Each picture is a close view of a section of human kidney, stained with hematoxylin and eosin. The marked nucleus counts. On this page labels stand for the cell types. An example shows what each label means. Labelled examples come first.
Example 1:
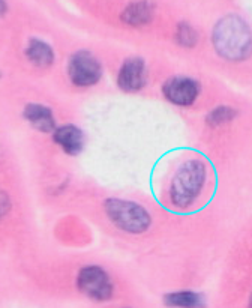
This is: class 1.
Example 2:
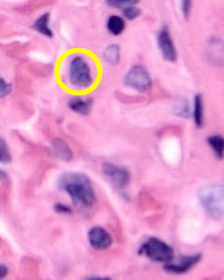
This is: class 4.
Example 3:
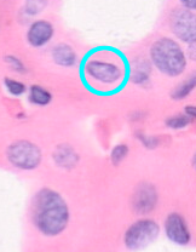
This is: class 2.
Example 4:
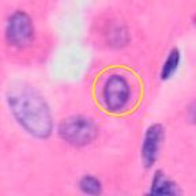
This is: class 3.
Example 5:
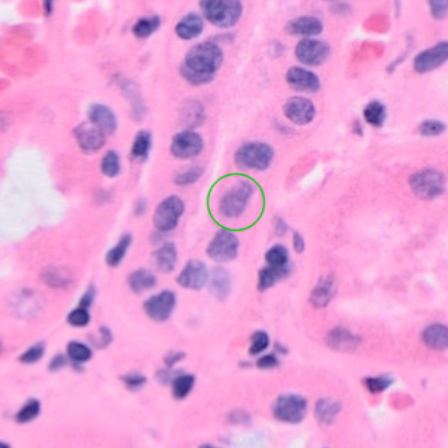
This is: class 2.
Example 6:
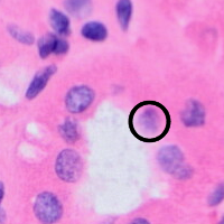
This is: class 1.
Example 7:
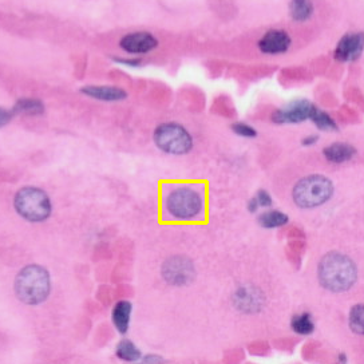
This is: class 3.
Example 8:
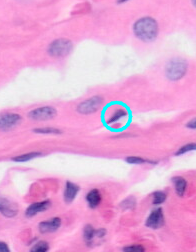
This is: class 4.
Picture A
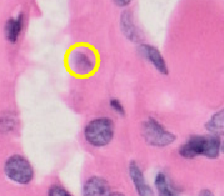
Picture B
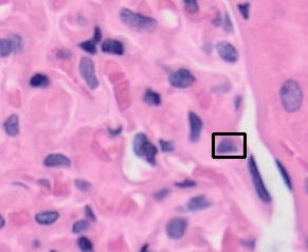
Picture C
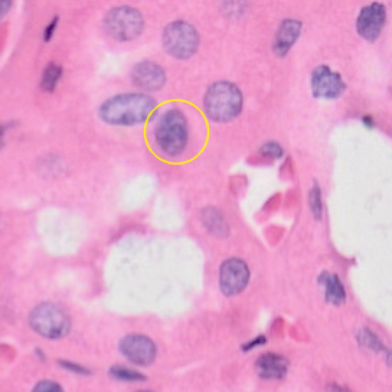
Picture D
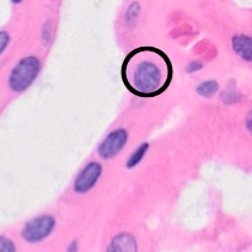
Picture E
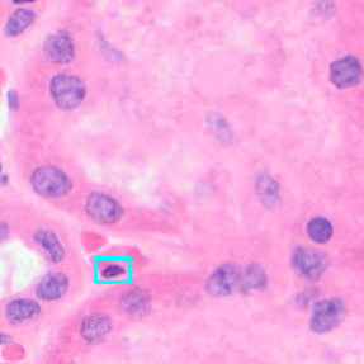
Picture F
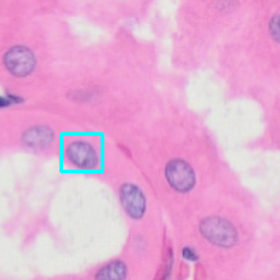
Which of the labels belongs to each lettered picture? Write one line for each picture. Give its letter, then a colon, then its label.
A: class 1.
B: class 4.
C: class 3.
D: class 2.
E: class 4.
F: class 1.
